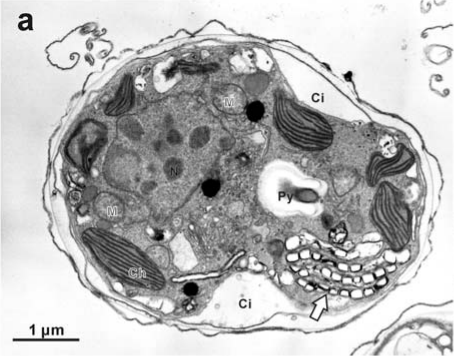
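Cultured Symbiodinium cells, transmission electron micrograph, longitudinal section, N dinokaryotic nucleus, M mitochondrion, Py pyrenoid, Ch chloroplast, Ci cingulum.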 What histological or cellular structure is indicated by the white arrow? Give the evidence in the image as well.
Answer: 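Rows of small rectangular electron-lucent blocks stacked in parallel layers. The stacked cluster lies near the cell periphery at one end. That points to this answer: crystalline deposit layers.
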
